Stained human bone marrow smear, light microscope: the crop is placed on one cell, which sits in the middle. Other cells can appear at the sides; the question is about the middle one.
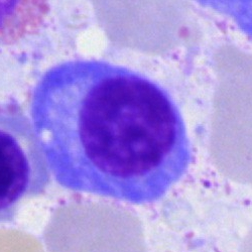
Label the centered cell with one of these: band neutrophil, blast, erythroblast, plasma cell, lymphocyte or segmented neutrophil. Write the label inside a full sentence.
The cell the crop is centered on is a plasma cell.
